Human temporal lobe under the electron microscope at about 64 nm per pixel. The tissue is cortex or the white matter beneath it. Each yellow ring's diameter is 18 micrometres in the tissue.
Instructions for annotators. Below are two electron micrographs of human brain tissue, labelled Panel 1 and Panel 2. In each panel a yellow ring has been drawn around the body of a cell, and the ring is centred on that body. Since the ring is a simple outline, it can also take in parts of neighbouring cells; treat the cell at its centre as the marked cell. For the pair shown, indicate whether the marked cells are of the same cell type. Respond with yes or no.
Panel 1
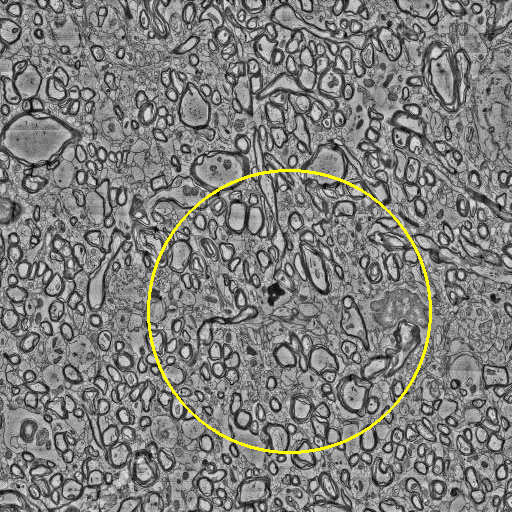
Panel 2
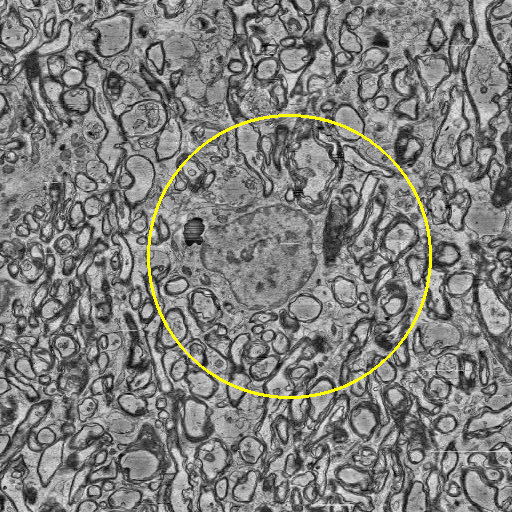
no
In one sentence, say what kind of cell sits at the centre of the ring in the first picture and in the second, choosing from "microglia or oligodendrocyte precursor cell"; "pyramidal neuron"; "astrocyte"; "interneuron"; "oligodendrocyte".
The first picture's ringed cell is a microglial cell or oligodendrocyte precursor cell, while the second picture's is an oligodendrocyte.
